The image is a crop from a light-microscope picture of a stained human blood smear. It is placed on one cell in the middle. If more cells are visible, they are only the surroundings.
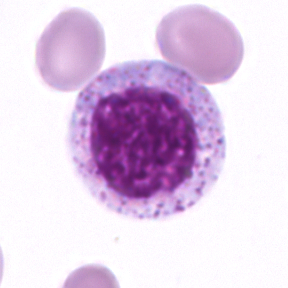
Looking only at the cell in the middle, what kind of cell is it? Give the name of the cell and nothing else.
myelocyte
